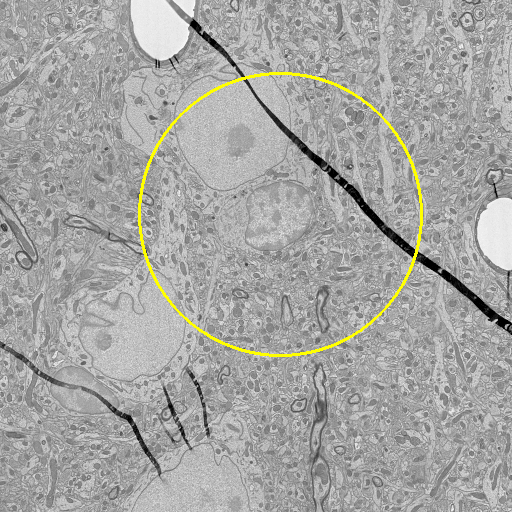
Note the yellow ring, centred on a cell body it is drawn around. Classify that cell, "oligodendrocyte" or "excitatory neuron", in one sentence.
The cell the ring is centred on is an oligodendrocyte.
